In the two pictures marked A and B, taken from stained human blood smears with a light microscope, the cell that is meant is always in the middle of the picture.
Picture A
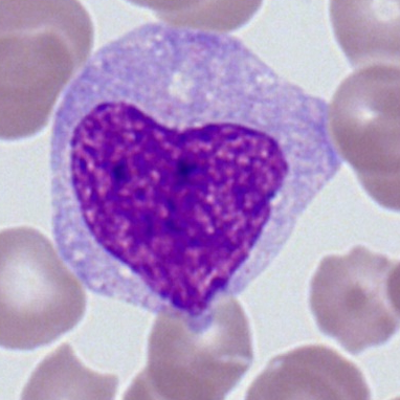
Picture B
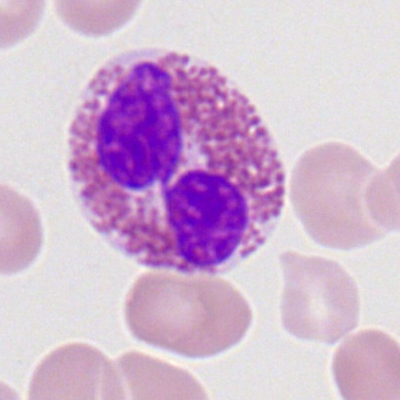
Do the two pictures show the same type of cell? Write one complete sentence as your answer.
No. Picture A shows a monocyte, but picture B shows an eosinophil.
